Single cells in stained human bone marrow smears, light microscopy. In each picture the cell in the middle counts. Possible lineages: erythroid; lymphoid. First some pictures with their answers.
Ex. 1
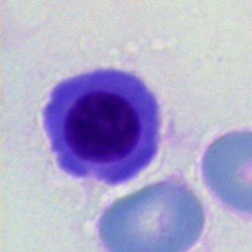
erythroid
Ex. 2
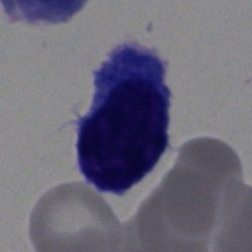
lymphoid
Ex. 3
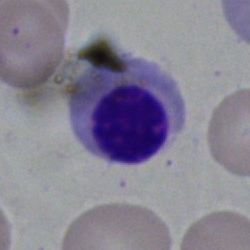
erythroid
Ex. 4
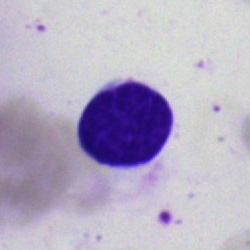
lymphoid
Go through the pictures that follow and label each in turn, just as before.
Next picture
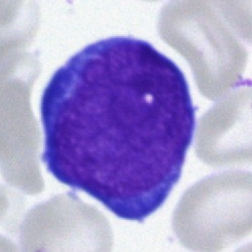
erythroid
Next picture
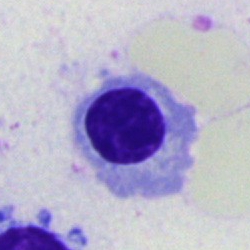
erythroid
